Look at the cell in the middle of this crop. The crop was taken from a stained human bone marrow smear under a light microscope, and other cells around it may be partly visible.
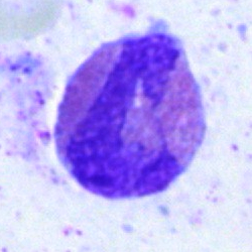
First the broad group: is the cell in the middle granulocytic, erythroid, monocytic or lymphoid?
granulocytic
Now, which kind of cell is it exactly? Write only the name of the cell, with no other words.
eosinophil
